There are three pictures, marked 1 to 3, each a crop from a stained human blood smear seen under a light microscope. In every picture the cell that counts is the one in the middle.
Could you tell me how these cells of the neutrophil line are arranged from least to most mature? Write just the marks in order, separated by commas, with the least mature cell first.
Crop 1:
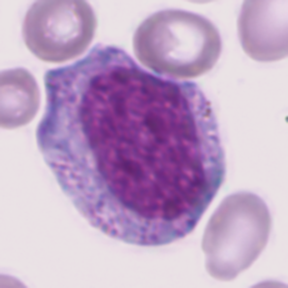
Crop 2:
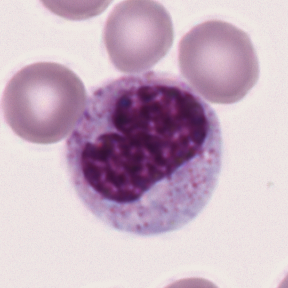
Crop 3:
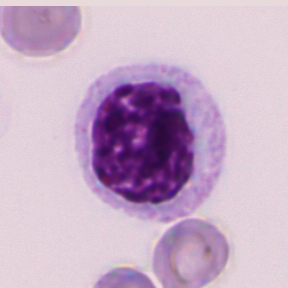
1, 3, 2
